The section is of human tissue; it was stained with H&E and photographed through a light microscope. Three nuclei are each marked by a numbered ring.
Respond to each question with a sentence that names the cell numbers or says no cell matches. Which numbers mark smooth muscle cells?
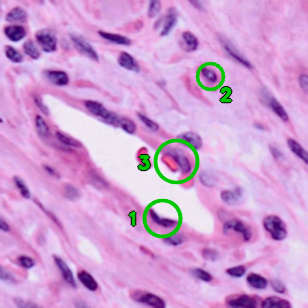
Only cell 2 qualifies as a smooth muscle cell among the numbered cells.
